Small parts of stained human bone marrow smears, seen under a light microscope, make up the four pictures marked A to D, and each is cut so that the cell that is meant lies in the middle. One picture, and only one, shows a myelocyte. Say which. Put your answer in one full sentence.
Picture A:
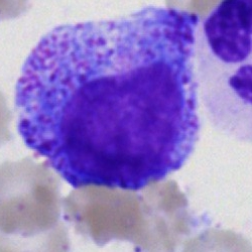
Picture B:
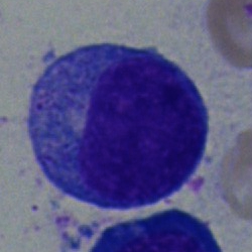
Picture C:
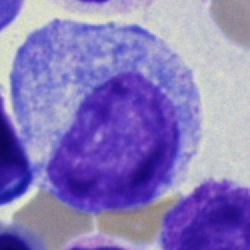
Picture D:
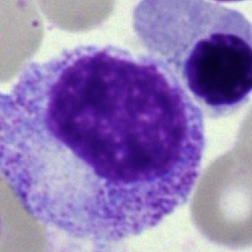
Picture D is the one that shows the myelocyte.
